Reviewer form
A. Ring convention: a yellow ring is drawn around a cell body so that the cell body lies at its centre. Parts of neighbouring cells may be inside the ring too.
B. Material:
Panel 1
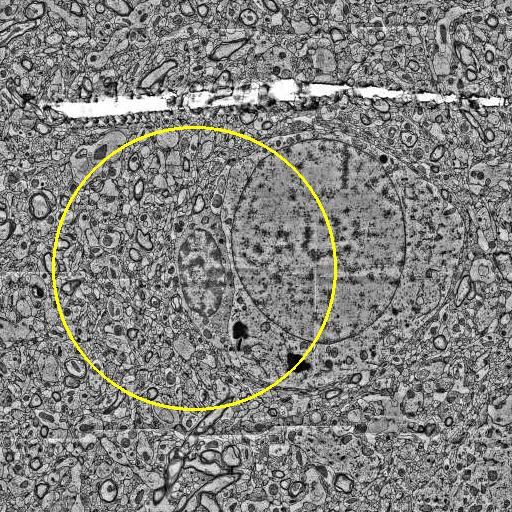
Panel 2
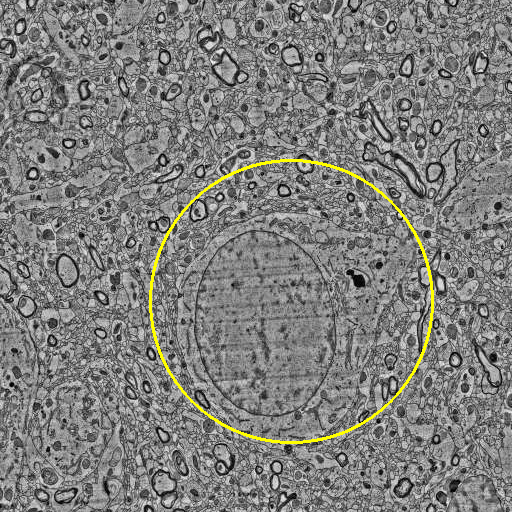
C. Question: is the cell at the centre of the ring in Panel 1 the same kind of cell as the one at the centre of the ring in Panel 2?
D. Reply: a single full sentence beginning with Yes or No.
No, the cells in Panel 1 and Panel 2 are two kinds of cell.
